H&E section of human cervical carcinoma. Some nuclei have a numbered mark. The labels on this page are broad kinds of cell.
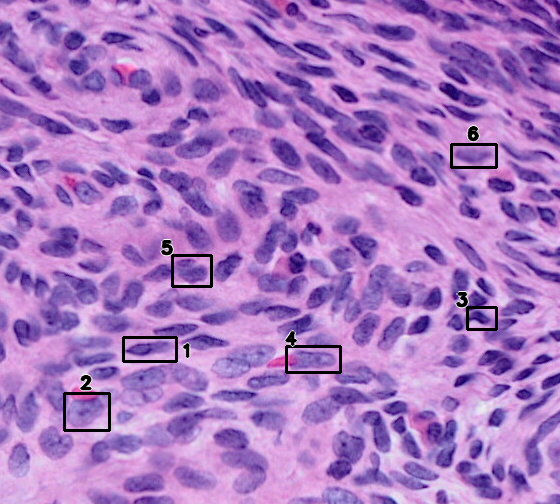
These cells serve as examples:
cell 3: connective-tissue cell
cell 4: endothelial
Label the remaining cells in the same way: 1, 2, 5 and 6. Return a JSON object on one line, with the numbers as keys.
{"1": "connective-tissue cell", "2": "endothelial", "5": "connective-tissue cell", "6": "connective-tissue cell"}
